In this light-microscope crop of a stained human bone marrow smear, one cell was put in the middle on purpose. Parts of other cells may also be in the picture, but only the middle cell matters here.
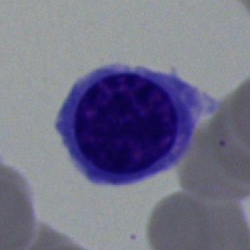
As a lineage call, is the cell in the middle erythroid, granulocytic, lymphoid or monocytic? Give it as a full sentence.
Classified by lineage, the middle cell is erythroid.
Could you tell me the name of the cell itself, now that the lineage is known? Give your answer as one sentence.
In the center of this field lies an erythroblast.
